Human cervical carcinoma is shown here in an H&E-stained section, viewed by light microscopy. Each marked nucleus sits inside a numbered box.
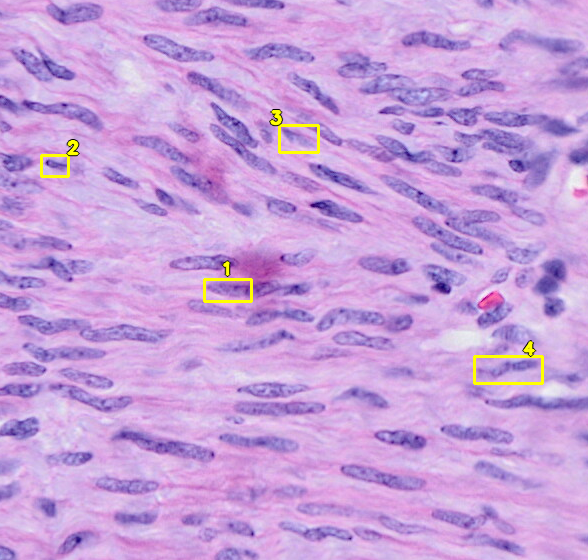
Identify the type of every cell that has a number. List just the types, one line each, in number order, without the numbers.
smooth muscle cell
smooth muscle cell
smooth muscle cell
fibroblast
